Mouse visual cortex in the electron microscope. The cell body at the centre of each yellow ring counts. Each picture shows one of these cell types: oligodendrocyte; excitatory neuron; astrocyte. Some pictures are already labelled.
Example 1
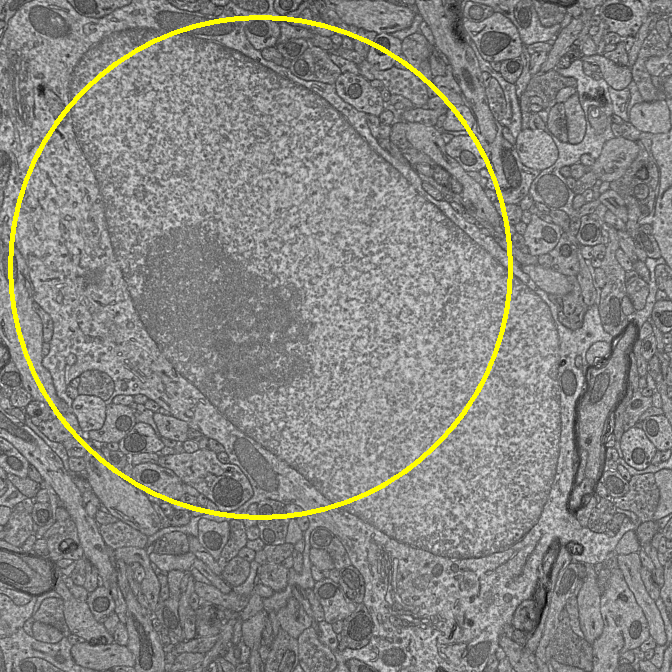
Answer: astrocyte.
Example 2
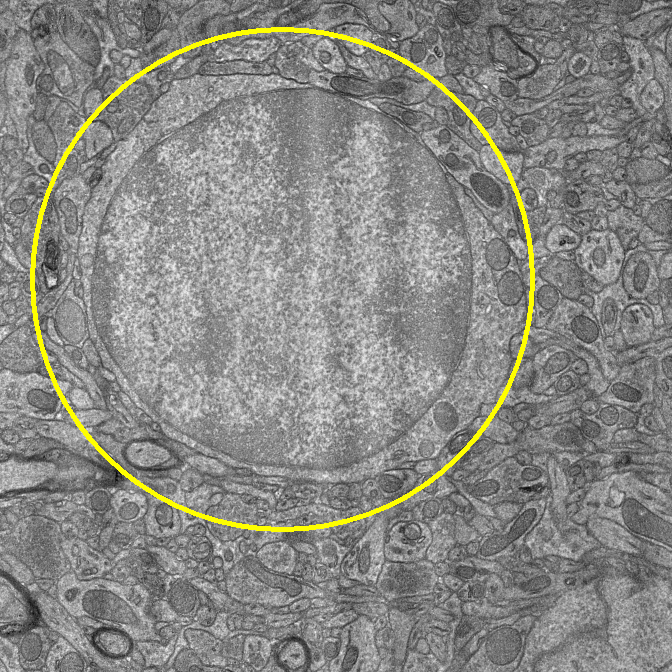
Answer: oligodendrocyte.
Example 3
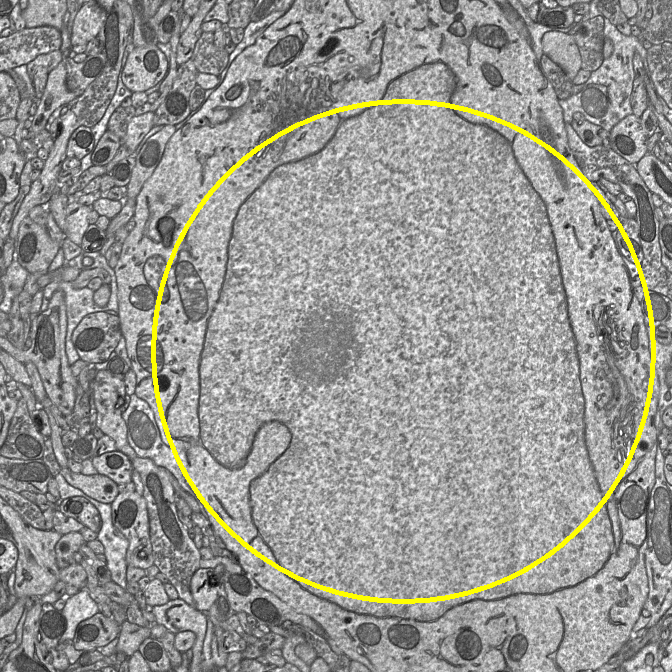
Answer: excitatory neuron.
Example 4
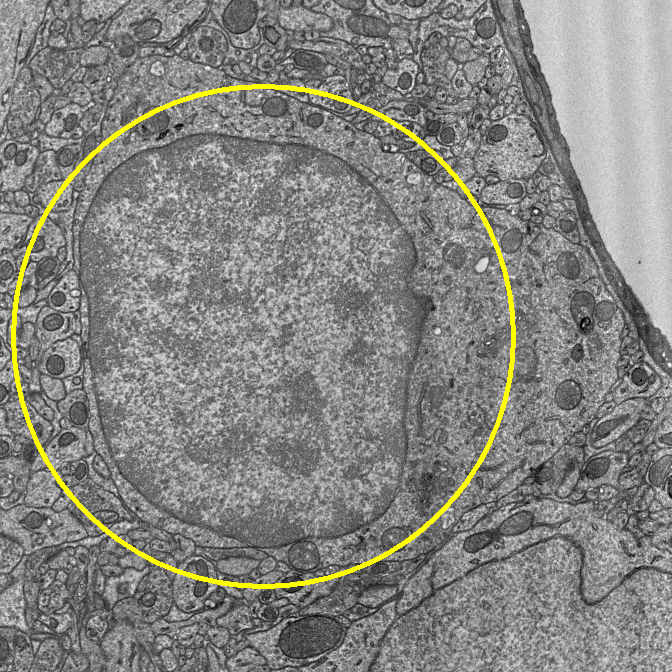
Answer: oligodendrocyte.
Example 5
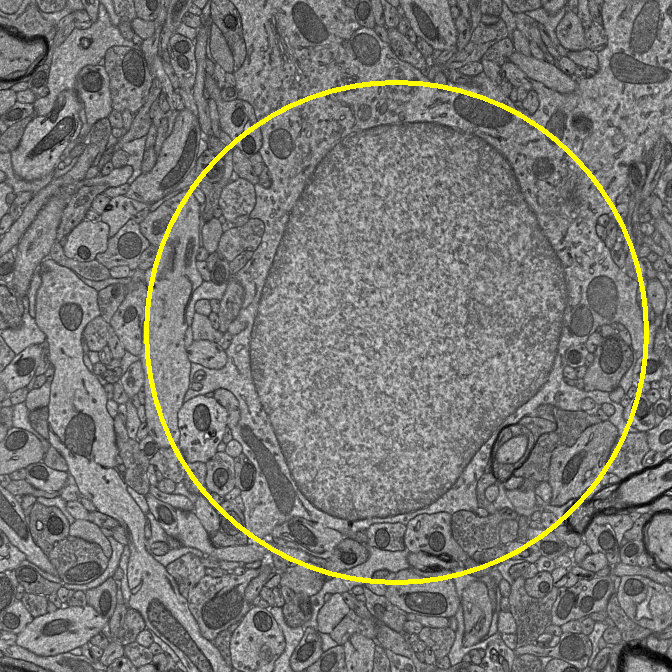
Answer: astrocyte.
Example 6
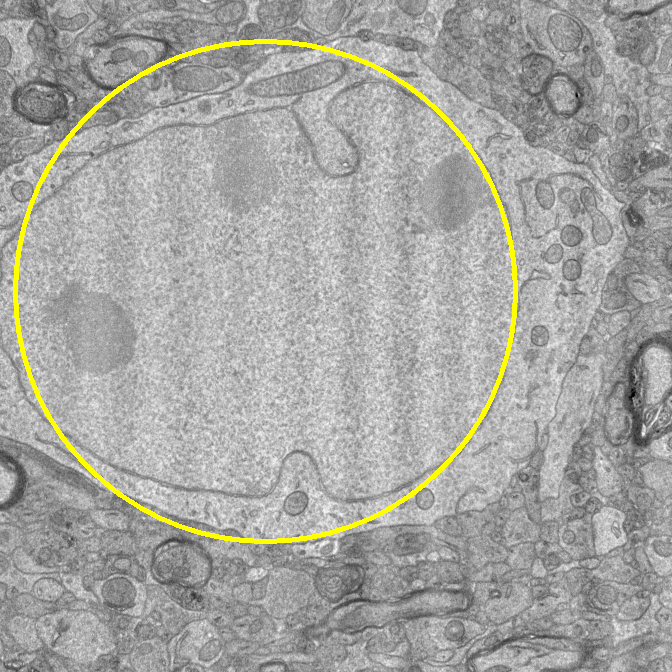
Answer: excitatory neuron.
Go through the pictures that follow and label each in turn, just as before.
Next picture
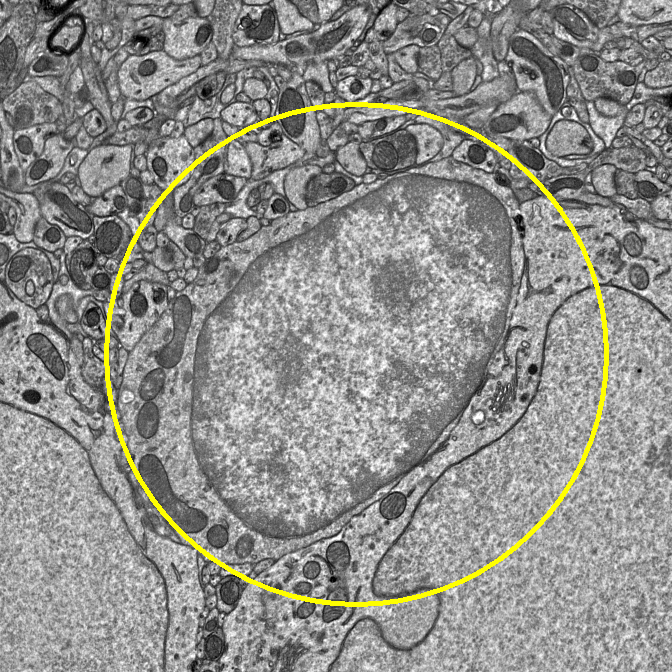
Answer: oligodendrocyte.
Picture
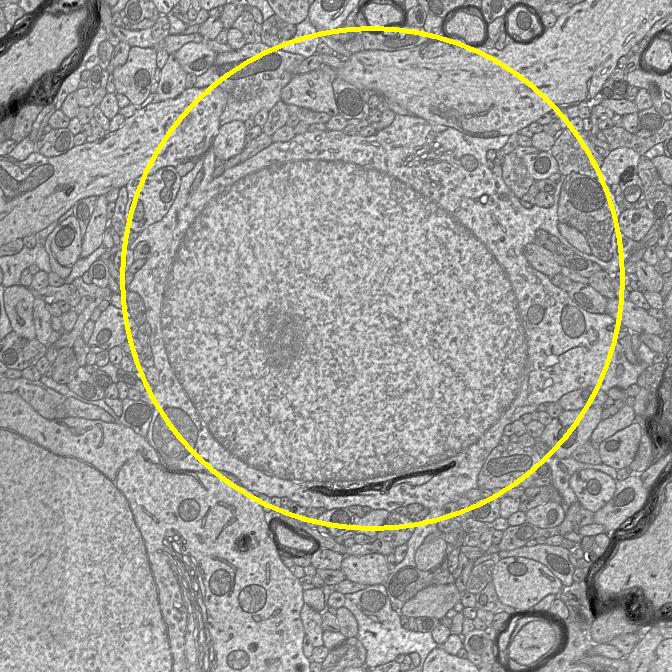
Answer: astrocyte.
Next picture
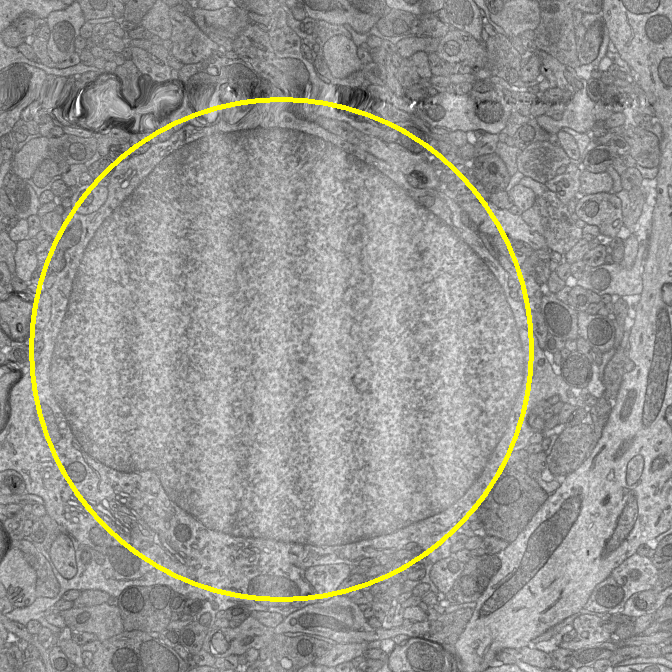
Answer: astrocyte.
